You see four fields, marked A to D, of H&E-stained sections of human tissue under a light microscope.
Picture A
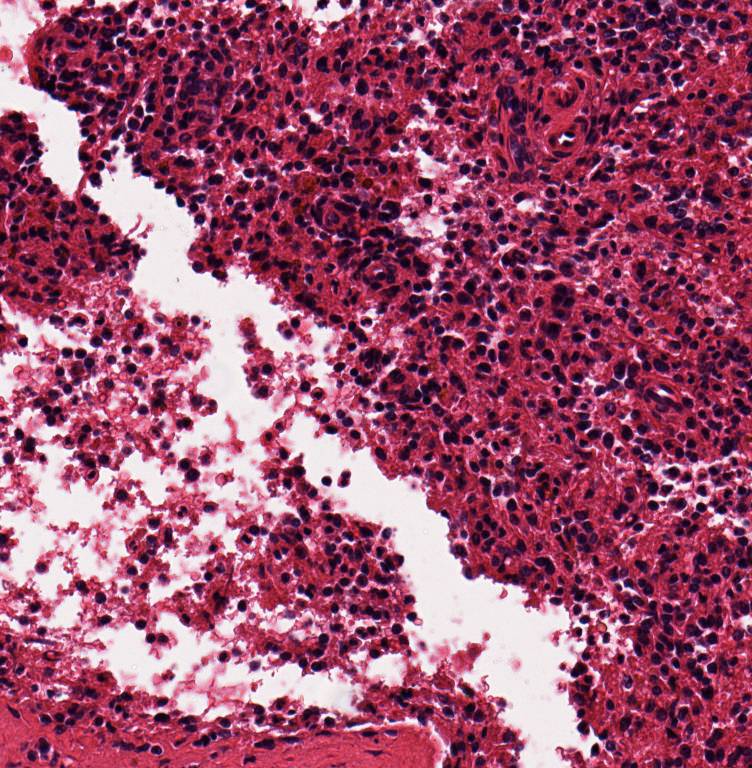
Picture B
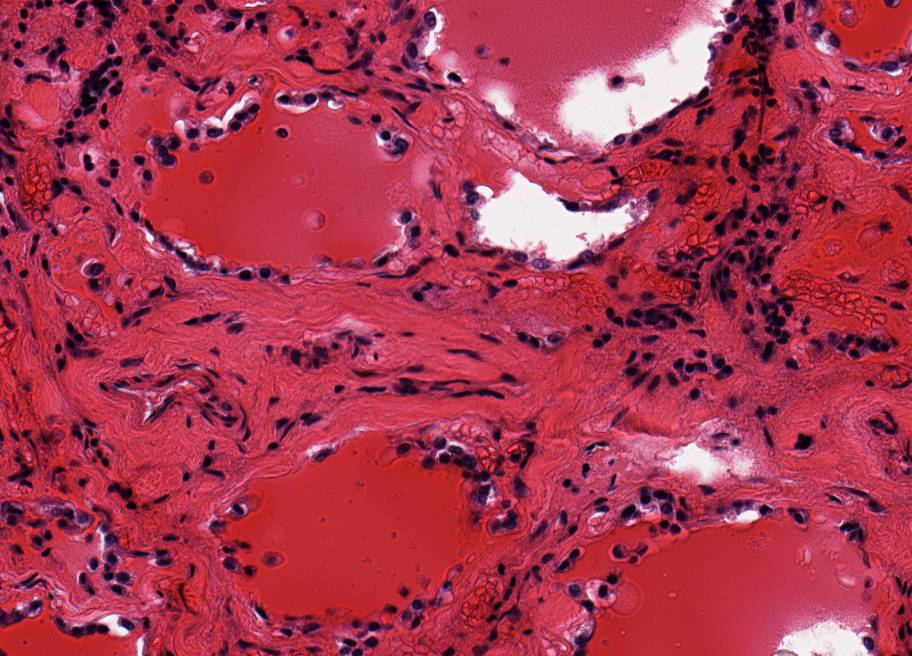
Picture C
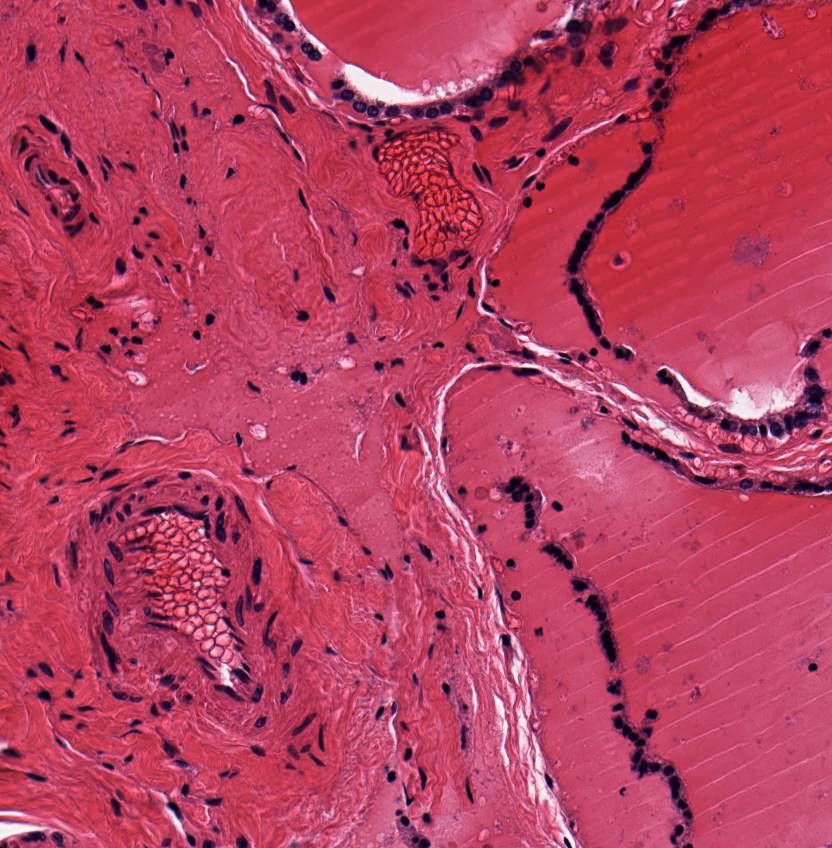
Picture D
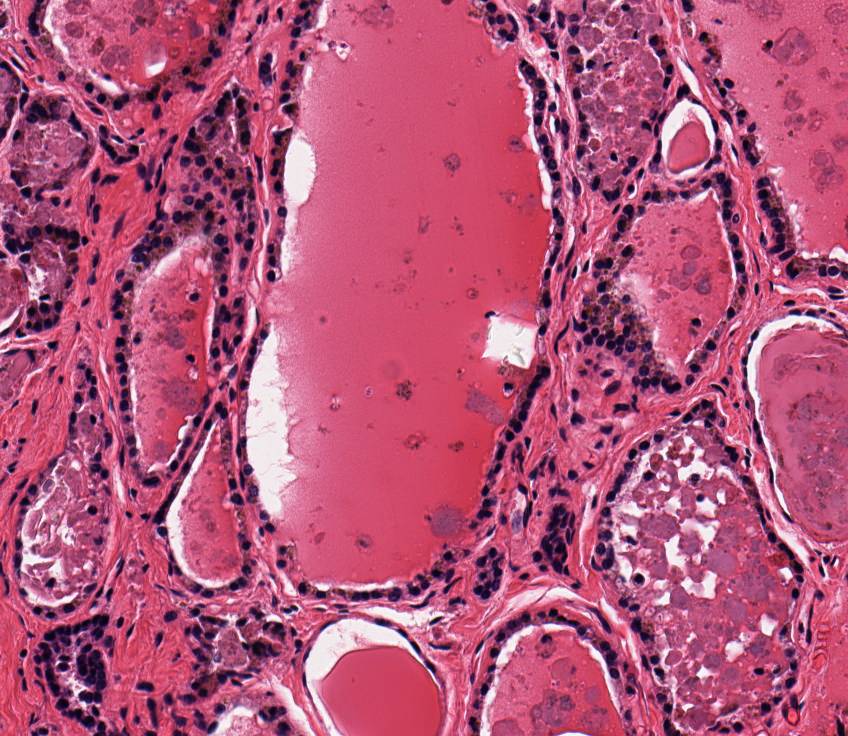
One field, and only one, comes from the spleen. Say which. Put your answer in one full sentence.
It is picture A that comes from the spleen.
